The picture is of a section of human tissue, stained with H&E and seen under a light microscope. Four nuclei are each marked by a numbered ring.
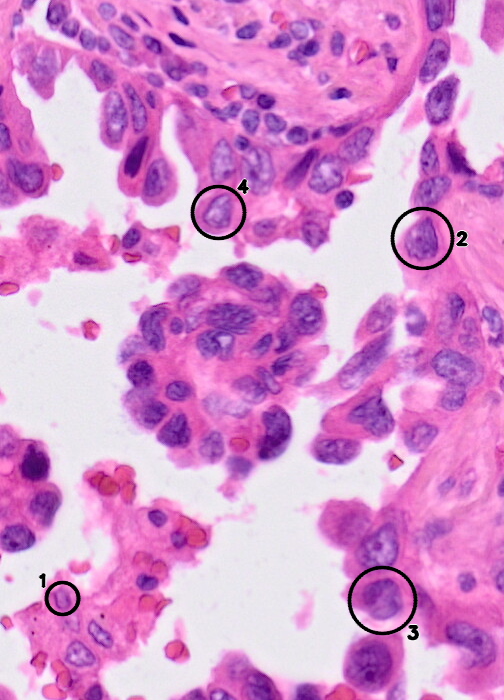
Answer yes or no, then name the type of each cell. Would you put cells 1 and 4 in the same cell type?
No, cell 1 is classed as a macrophage or monocyte and cell 4 as a carcinoma cell.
